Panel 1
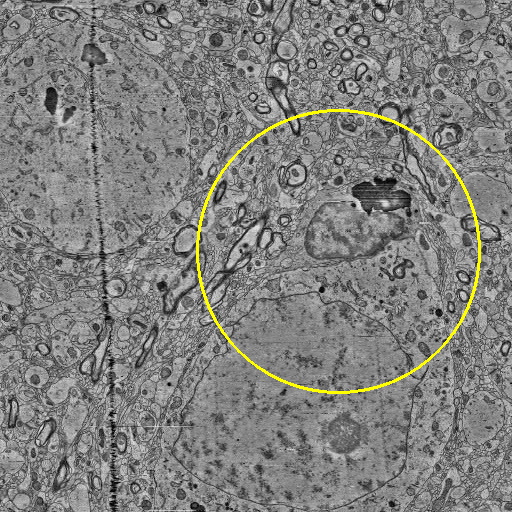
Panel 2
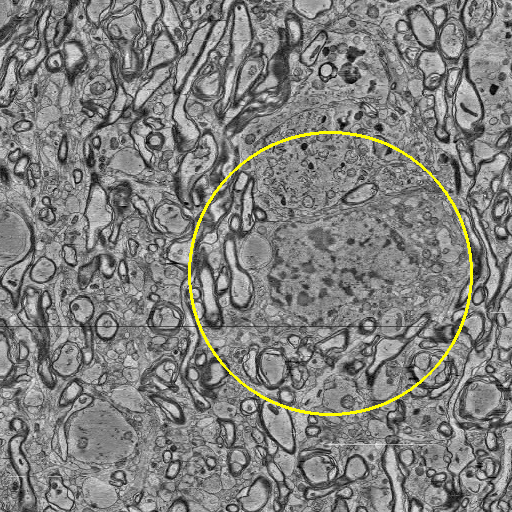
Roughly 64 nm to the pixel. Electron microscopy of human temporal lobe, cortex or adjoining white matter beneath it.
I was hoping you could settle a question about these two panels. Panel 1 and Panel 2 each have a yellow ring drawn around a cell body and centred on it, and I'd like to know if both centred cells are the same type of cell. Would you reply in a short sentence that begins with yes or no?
No, they are two types of cell.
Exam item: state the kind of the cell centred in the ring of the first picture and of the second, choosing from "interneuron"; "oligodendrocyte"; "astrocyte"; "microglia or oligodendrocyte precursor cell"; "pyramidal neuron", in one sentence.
The first picture shows an oligodendrocyte at the ring centre and the second shows an astrocyte.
